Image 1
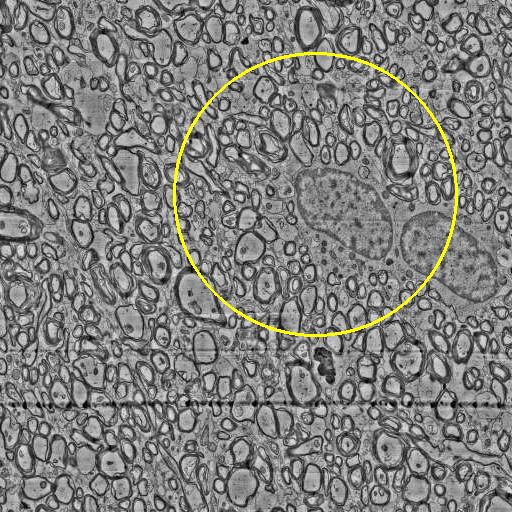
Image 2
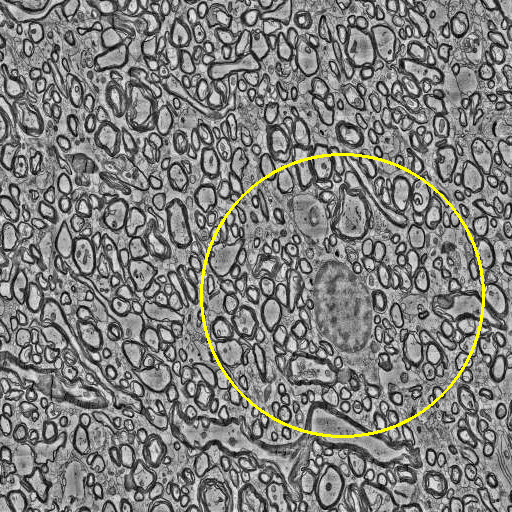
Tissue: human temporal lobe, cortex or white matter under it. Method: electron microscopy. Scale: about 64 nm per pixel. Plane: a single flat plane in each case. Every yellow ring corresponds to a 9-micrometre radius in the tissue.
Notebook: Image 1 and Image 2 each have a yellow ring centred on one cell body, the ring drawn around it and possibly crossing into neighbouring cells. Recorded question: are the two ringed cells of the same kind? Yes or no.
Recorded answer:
yes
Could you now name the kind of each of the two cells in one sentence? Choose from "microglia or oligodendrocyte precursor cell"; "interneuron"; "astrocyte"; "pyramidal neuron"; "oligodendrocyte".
Each cell at the centre of a ring is an oligodendrocyte.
